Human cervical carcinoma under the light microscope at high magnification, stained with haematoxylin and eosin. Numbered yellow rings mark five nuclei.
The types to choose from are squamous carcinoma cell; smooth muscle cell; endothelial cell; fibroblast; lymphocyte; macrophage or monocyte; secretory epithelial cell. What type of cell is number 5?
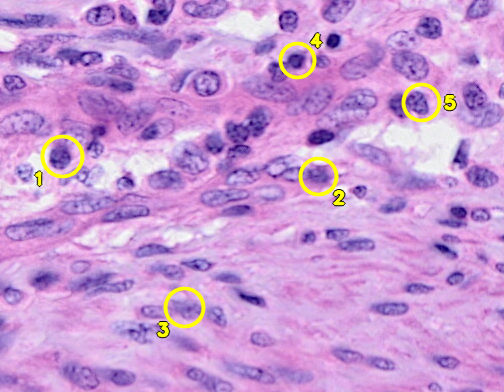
lymphocyte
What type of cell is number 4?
lymphocyte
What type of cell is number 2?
endothelial cell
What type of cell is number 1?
lymphocyte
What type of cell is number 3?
smooth muscle cell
